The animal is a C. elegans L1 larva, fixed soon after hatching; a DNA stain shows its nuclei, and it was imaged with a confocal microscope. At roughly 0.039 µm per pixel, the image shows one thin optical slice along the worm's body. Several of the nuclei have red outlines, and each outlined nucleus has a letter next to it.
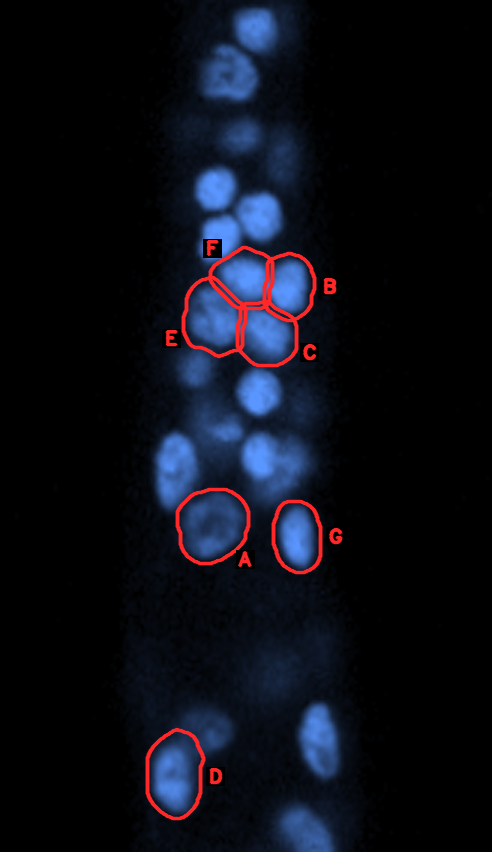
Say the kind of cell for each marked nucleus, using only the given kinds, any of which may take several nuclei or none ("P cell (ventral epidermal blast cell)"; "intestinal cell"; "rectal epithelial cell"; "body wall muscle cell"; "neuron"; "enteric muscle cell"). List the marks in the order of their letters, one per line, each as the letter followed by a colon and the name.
A: intestinal cell
B: neuron
C: neuron
D: body wall muscle cell
E: rectal epithelial cell
F: neuron
G: enteric muscle cell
